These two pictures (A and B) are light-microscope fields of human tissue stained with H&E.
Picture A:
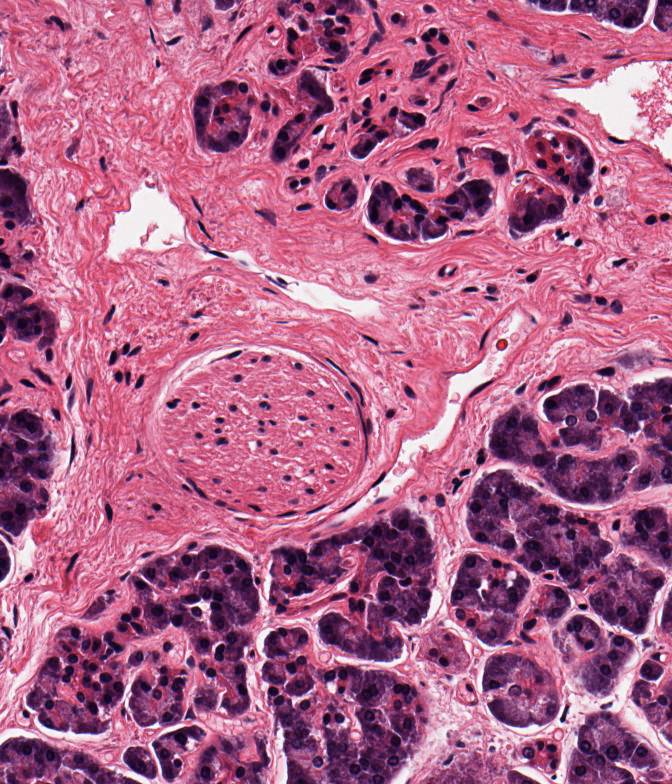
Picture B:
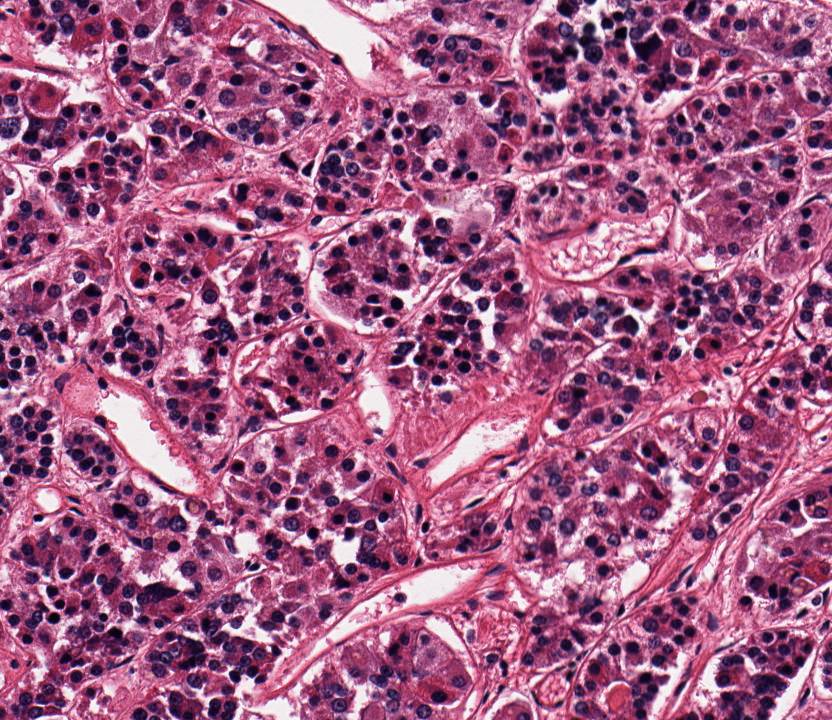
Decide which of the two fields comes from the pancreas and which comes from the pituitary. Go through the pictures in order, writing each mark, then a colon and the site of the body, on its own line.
A: pancreas
B: pituitary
